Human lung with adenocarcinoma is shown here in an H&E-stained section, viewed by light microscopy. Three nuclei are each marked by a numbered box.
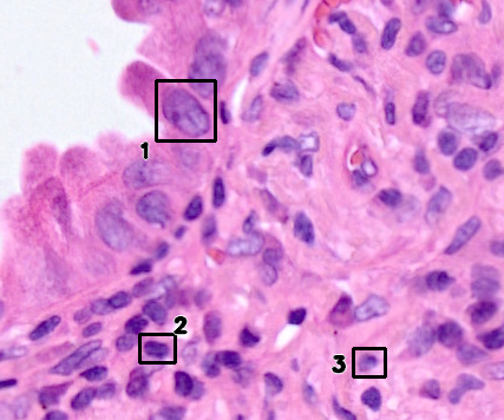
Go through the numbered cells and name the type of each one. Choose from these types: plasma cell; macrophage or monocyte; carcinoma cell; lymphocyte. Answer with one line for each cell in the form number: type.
1: carcinoma cell
2: lymphocyte
3: lymphocyte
